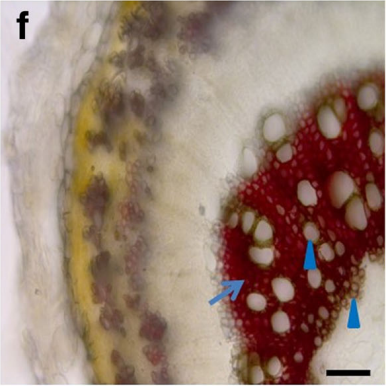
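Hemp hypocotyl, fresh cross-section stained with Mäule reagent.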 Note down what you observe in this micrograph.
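The xylem ring is stained intensely red and consists mainly of small, tightly packed, thick-walled fibres, among which lie scattered wider cells with round, empty lumens, the tracheary elements. Towards the outside, separated by a pale band of thin-walled cells, a yellowish zone holds clusters of dark red to purple stained cells. The outermost tissue is made of large, pale, thin-walled cells.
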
